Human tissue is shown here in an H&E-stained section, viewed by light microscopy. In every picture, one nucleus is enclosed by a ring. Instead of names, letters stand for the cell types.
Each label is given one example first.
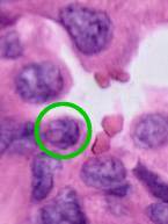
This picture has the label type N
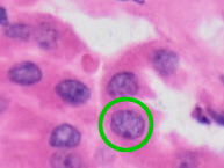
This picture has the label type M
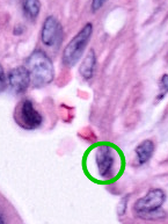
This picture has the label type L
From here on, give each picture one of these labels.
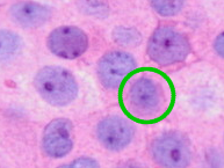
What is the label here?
type N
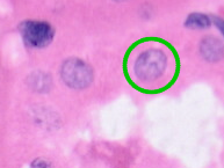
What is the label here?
type M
